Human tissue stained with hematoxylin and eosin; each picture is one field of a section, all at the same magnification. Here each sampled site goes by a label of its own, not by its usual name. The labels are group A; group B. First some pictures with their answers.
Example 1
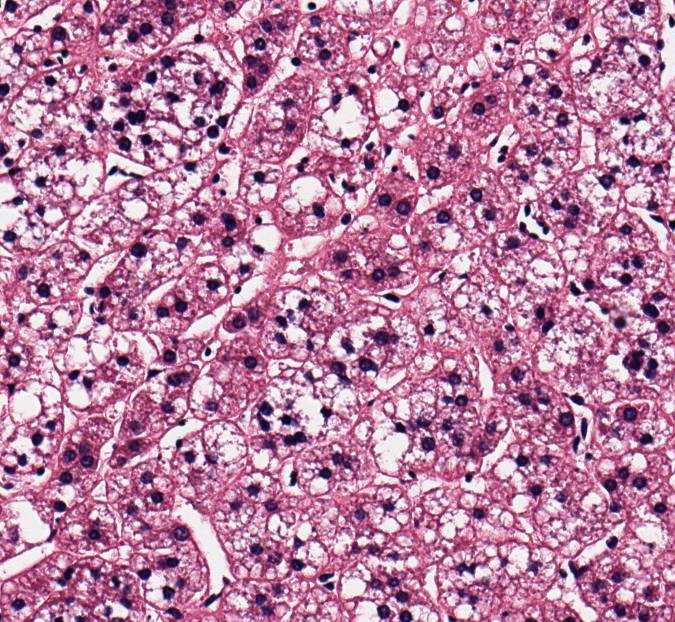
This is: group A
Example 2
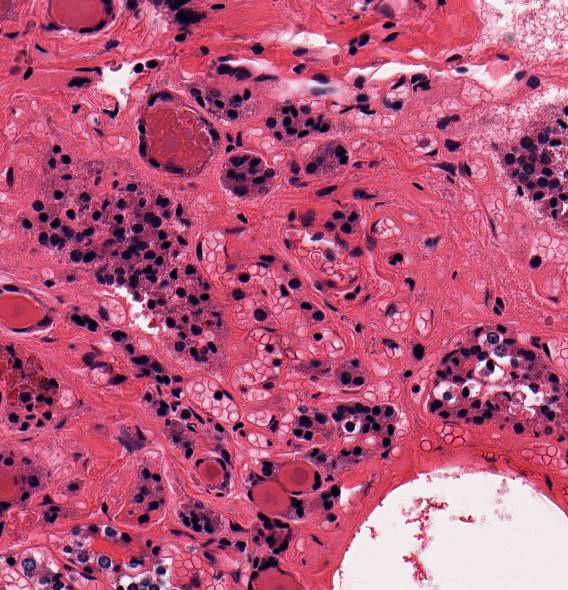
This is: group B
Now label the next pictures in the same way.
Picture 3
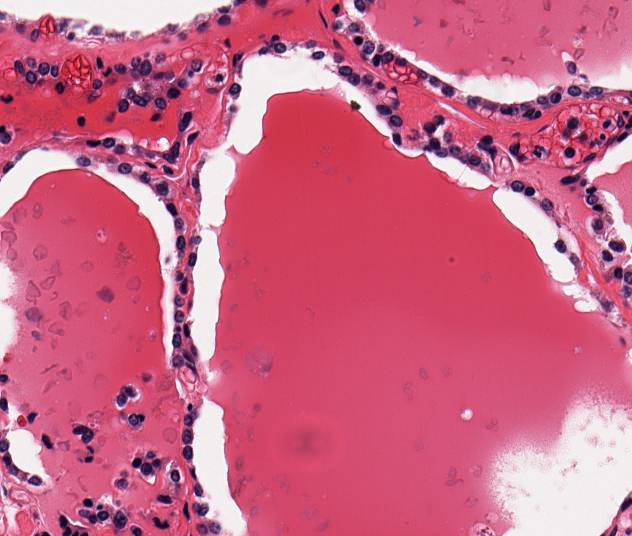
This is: group B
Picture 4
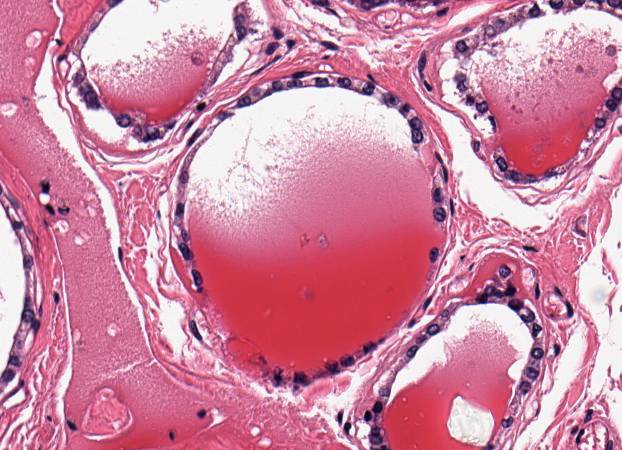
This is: group B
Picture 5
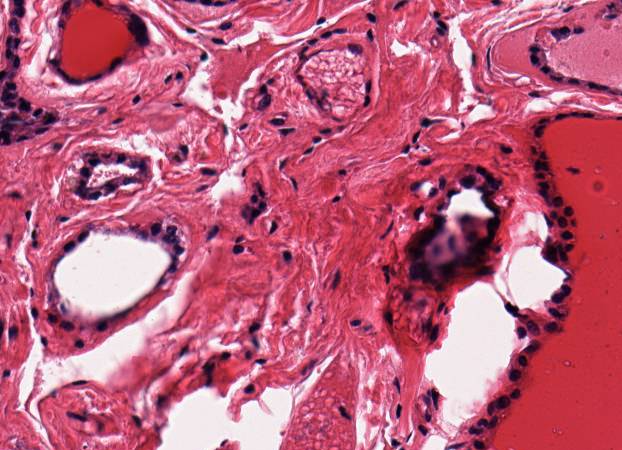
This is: group B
